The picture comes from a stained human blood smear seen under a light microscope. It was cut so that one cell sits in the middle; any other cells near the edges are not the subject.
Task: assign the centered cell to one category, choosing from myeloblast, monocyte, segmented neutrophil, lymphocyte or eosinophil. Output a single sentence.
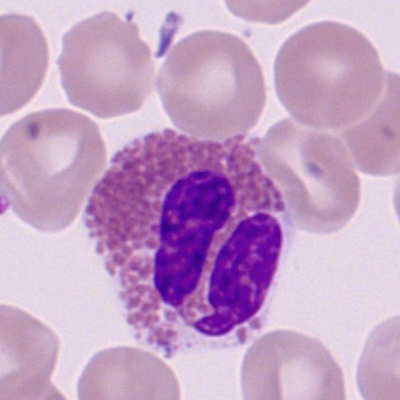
The cell in the exact centre of the crop is an eosinophil.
